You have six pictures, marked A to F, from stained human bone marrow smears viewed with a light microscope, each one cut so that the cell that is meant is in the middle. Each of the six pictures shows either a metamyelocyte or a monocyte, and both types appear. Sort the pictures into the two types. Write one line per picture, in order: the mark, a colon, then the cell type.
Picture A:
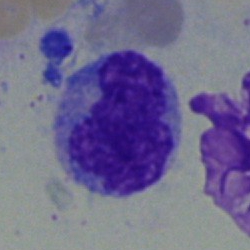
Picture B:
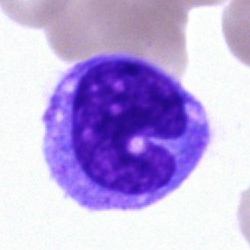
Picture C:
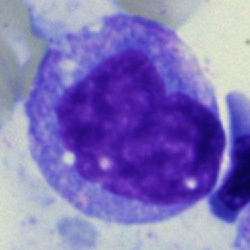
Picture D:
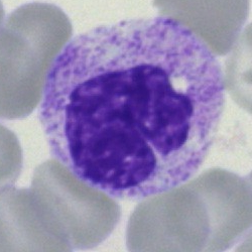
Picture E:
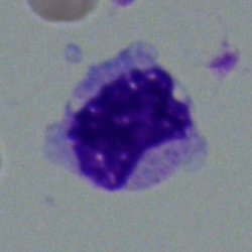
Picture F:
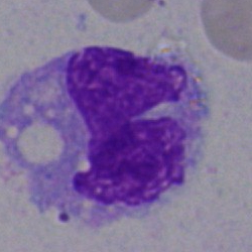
A: monocyte
B: monocyte
C: monocyte
D: metamyelocyte
E: metamyelocyte
F: monocyte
